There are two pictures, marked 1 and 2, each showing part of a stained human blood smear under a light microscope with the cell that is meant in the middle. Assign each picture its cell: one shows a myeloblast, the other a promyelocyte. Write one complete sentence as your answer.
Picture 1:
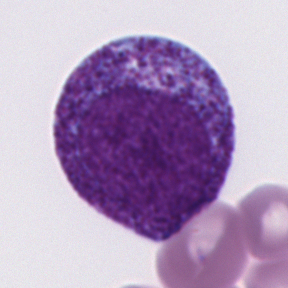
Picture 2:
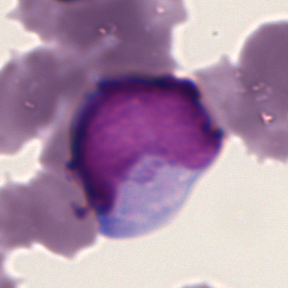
In picture 1 the cell is a promyelocyte; in picture 2, a myeloblast.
